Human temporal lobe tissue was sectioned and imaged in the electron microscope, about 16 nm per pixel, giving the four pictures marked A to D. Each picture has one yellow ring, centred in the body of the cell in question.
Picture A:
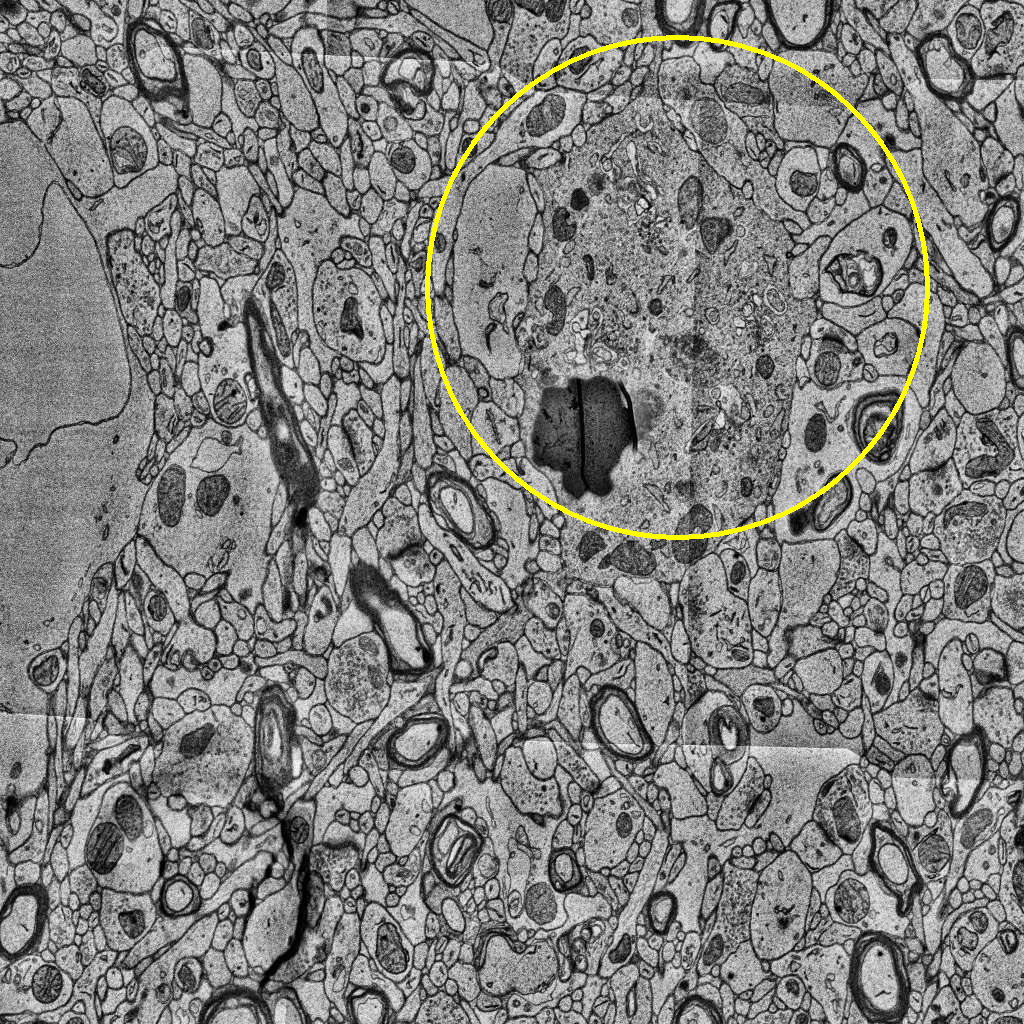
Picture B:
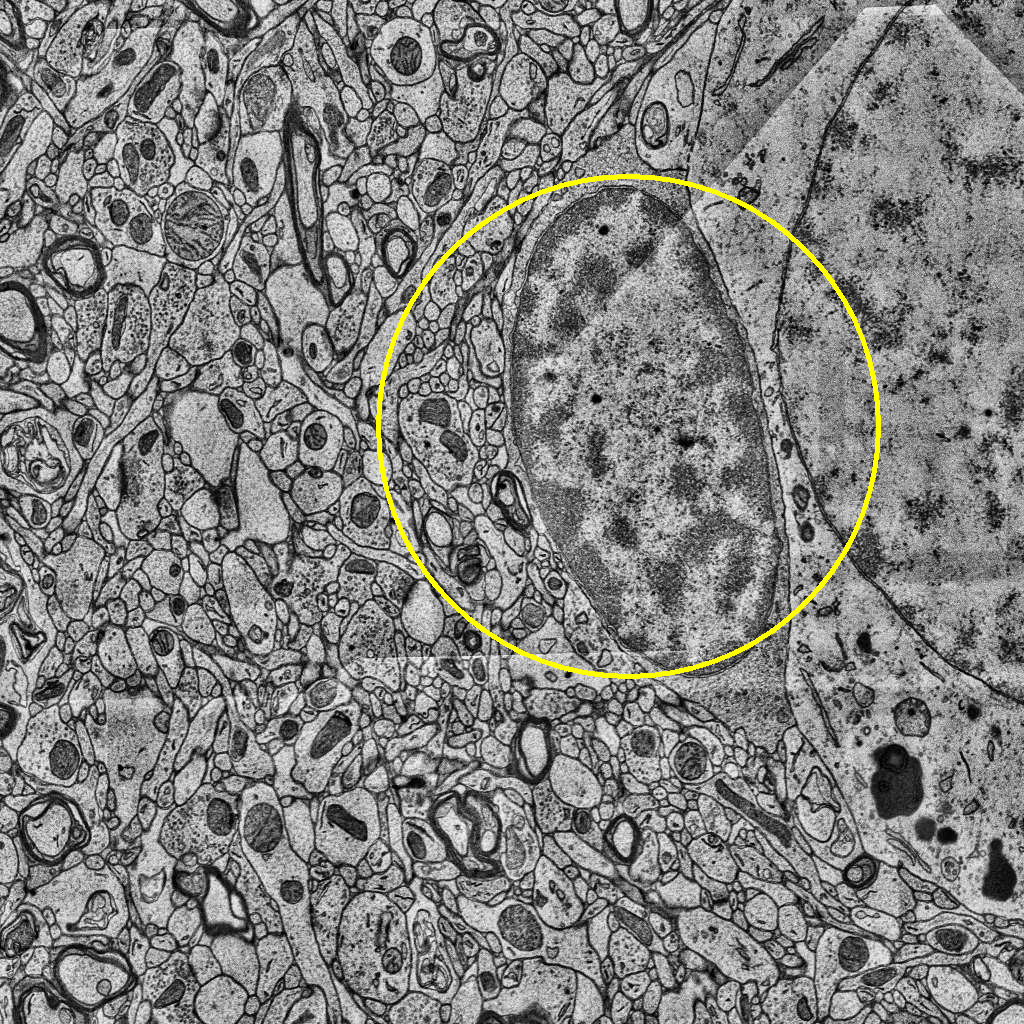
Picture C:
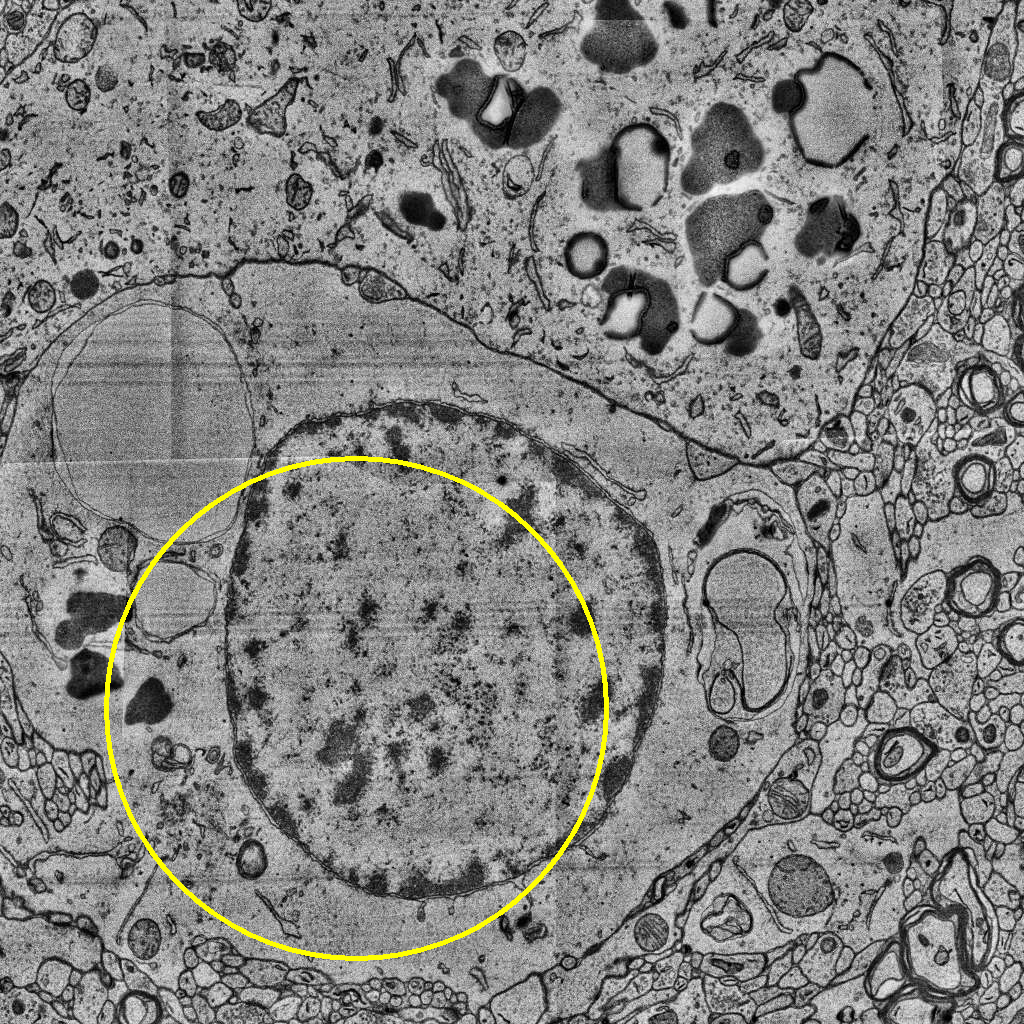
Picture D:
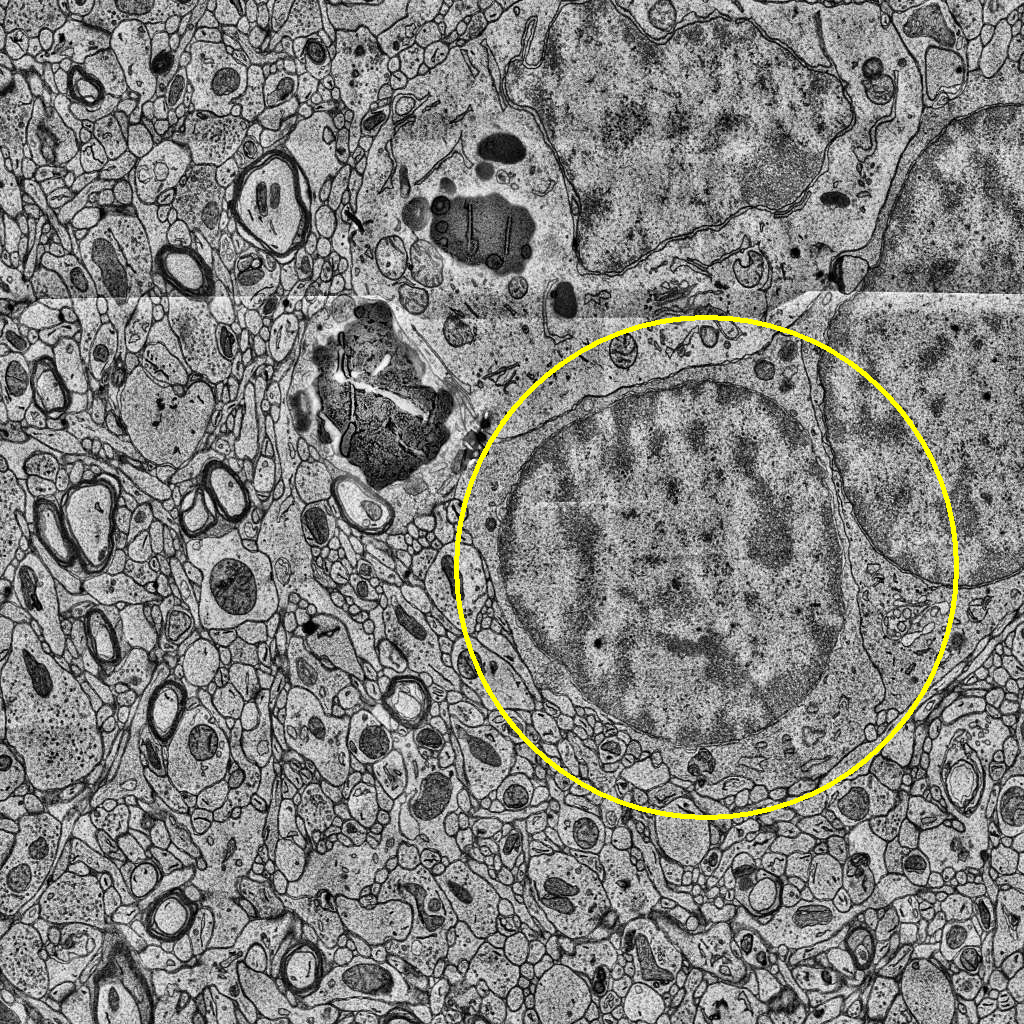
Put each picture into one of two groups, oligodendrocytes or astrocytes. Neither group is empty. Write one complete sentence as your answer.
Pictures A, B and D show oligodendrocytes; picture C shows an astrocyte.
